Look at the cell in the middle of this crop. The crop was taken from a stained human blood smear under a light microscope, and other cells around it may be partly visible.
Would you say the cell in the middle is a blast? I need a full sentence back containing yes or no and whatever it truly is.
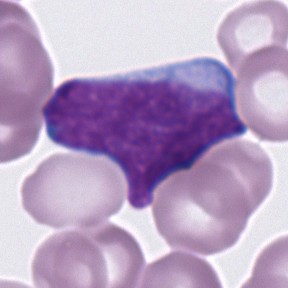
Yes, the cell at the middle is a blast.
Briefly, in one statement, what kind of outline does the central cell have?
Because its outline is ragged or drawn out into projections, the cell lacks a smooth border.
